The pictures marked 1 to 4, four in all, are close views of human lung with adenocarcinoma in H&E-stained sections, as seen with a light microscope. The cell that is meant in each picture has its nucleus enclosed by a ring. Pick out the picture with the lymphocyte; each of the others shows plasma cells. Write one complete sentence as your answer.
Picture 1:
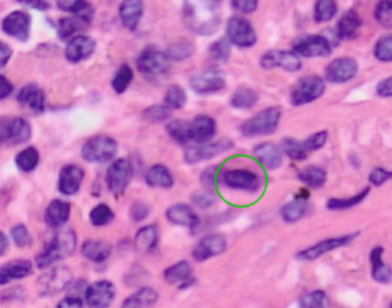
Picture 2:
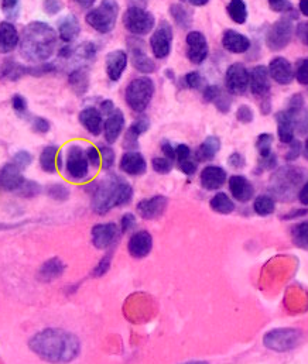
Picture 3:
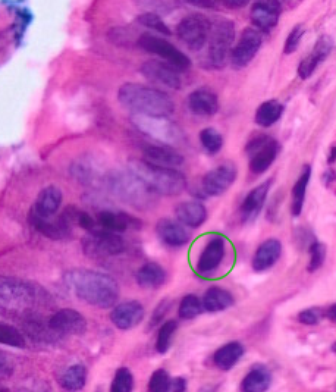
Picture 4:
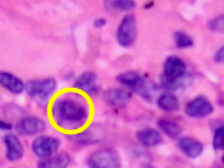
The lymphocyte is the one in picture 2.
